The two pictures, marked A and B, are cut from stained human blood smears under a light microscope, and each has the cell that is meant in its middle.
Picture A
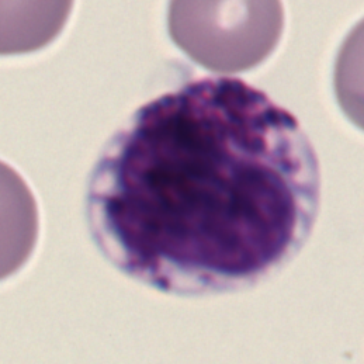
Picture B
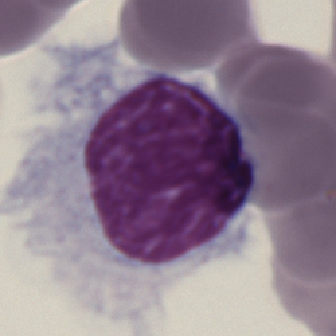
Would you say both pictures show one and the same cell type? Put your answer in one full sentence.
No; the cell in picture A is a basophil, while the one in picture B is a hairy cell.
